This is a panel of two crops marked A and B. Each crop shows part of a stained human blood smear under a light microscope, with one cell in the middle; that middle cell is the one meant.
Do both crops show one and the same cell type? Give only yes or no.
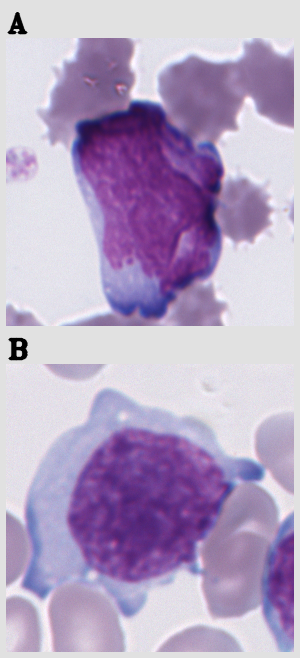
yes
